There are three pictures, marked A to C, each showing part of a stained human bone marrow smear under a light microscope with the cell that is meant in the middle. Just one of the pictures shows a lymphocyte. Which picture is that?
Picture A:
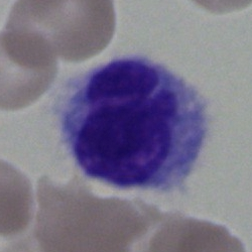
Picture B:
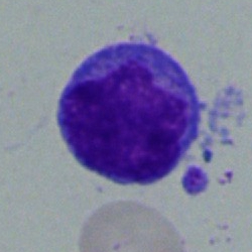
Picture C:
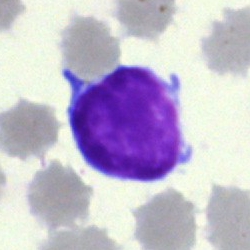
C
